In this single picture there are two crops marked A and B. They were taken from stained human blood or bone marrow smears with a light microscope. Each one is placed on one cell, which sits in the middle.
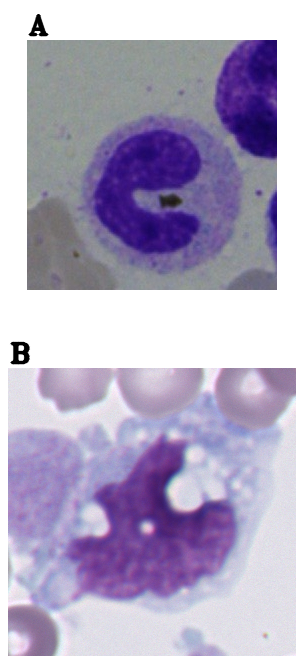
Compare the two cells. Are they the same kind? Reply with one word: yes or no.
no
